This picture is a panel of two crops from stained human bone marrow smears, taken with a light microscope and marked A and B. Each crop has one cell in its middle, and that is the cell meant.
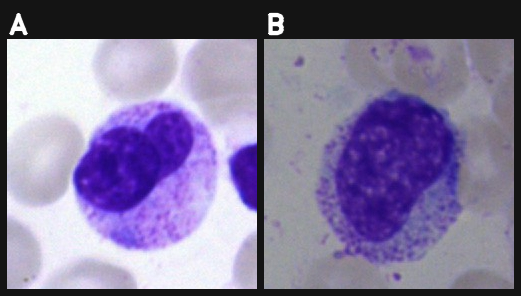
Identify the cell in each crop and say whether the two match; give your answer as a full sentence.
Yes, the two crops show metamyelocytes, both of them.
